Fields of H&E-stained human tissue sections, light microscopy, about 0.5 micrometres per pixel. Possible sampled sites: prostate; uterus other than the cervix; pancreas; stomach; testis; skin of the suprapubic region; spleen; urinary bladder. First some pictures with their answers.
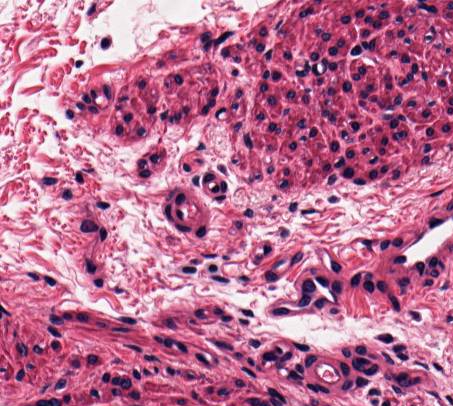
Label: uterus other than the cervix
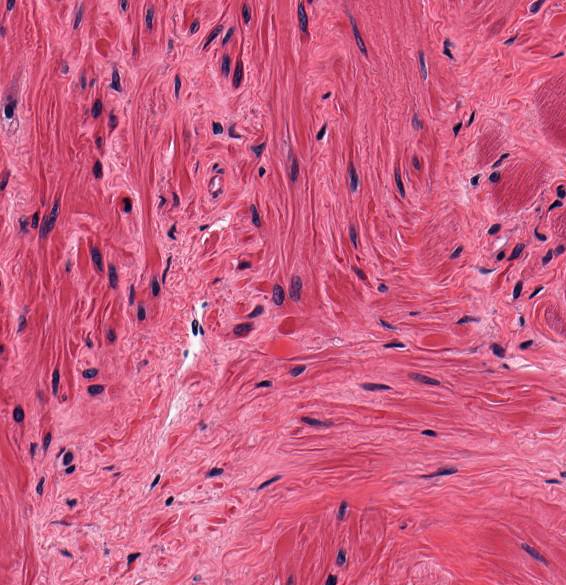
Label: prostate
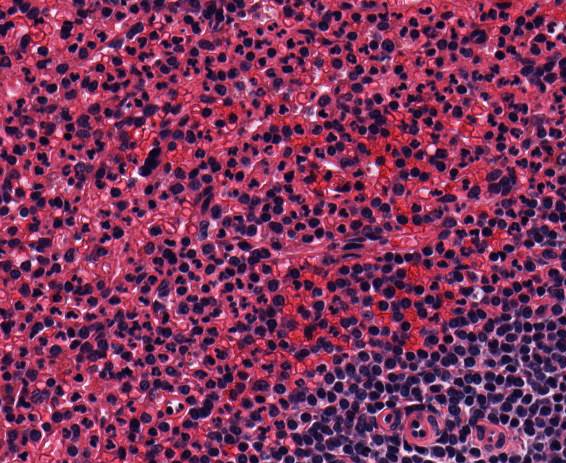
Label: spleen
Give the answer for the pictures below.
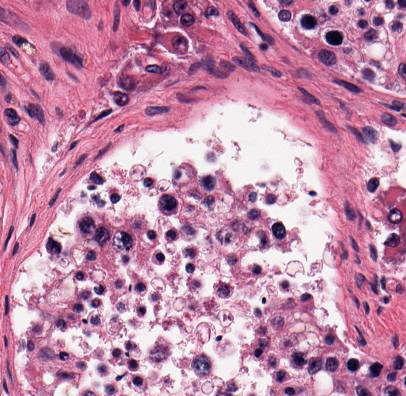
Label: testis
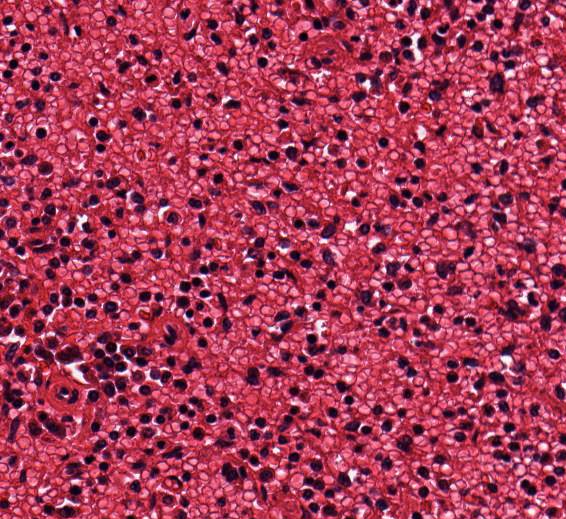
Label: spleen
